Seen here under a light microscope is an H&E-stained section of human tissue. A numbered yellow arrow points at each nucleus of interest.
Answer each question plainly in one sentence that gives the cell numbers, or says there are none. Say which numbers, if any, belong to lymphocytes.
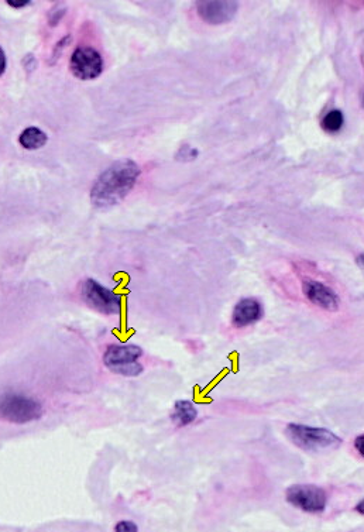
Among all the marked cells, a lymphocyte is found only at number 1.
